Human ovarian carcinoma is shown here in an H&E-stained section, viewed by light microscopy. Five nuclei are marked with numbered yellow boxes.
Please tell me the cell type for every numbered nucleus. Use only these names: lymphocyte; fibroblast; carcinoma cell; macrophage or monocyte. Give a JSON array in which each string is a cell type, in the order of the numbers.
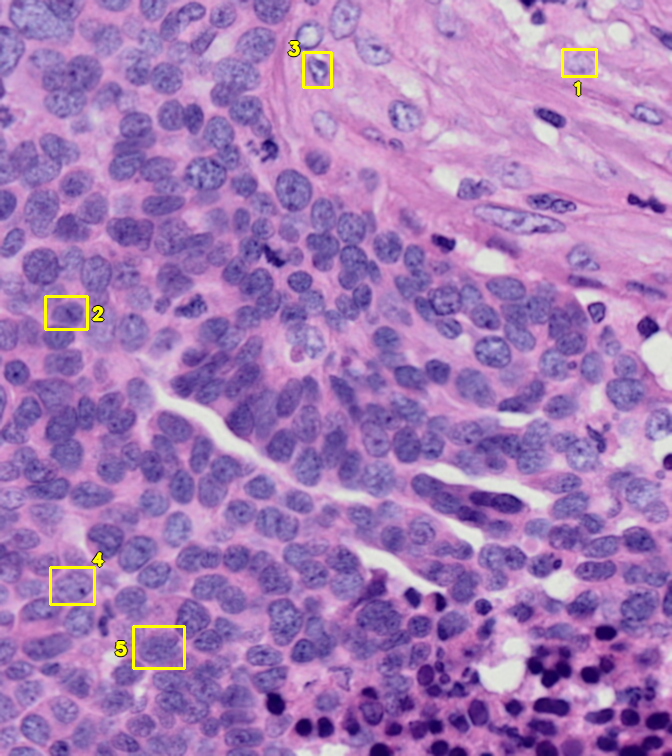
["fibroblast", "carcinoma cell", "fibroblast", "carcinoma cell", "carcinoma cell"]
